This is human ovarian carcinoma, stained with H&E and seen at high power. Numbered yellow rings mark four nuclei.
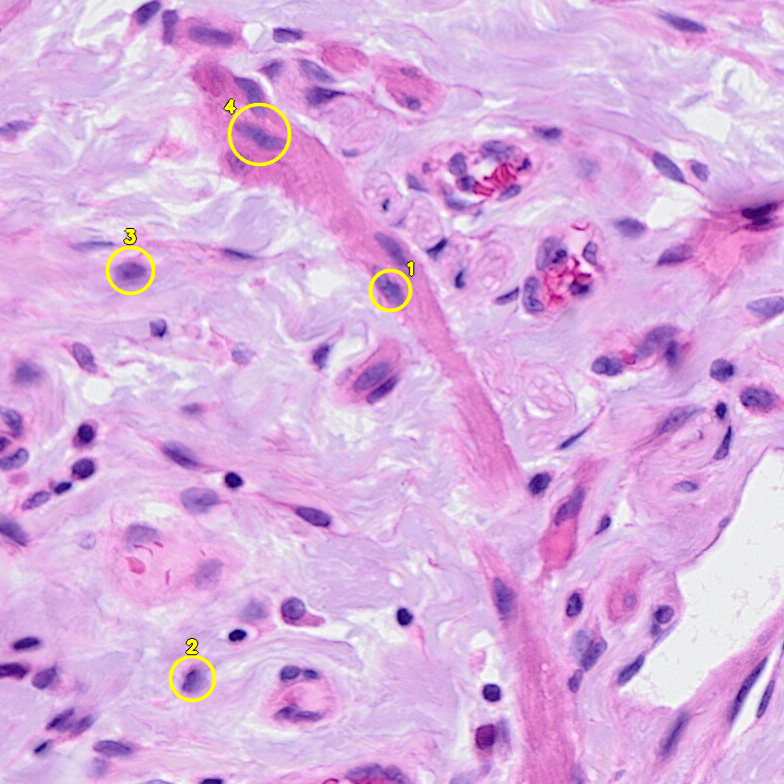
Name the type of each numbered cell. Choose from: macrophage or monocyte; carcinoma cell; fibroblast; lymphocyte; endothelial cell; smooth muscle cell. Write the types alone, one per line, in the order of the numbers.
smooth muscle cell
fibroblast
fibroblast
smooth muscle cell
